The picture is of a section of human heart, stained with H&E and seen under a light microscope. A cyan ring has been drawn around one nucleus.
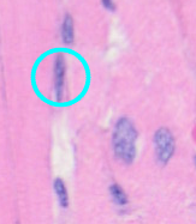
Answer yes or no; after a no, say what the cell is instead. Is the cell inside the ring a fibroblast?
Yes.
